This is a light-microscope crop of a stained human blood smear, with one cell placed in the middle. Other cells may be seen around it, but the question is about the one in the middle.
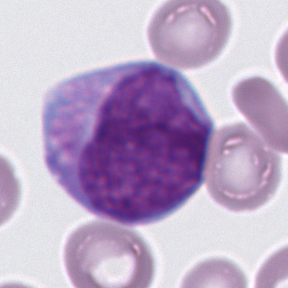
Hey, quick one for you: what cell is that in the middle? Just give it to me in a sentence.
Centrally within this crop lies an atypical promyelocyte.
